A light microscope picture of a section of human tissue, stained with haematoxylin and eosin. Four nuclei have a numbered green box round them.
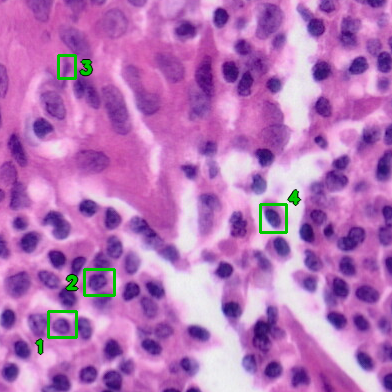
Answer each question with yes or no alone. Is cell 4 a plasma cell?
yes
